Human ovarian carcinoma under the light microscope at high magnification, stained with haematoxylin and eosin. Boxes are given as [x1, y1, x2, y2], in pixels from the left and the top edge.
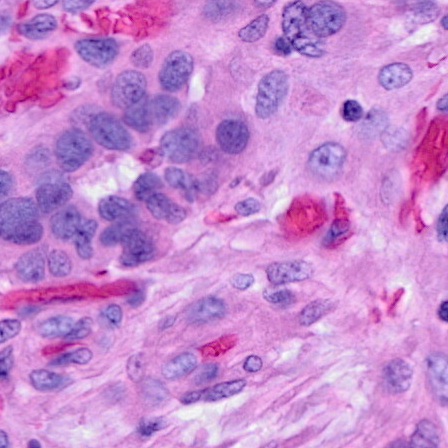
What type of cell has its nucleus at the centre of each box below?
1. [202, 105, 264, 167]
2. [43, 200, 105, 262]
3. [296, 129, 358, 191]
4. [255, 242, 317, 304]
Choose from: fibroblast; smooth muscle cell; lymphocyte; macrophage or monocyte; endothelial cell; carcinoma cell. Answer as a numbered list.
1. carcinoma cell
2. carcinoma cell
3. fibroblast
4. fibroblast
